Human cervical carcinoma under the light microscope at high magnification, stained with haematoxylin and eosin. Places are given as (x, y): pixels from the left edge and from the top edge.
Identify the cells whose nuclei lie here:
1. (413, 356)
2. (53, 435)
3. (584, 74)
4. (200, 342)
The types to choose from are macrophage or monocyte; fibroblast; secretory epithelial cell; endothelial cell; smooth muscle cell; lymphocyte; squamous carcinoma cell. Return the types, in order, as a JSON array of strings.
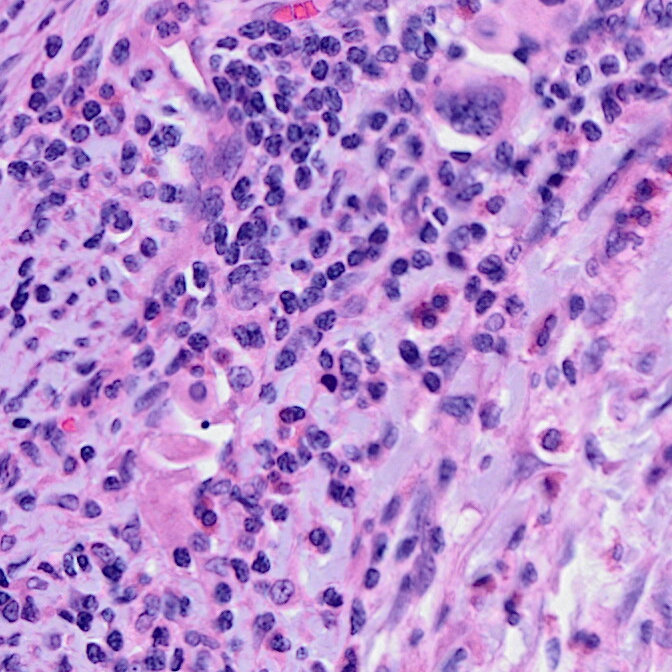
["lymphocyte", "endothelial cell", "lymphocyte", "lymphocyte"]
